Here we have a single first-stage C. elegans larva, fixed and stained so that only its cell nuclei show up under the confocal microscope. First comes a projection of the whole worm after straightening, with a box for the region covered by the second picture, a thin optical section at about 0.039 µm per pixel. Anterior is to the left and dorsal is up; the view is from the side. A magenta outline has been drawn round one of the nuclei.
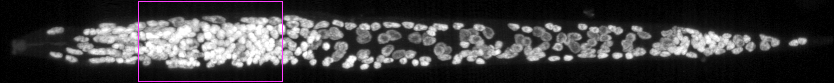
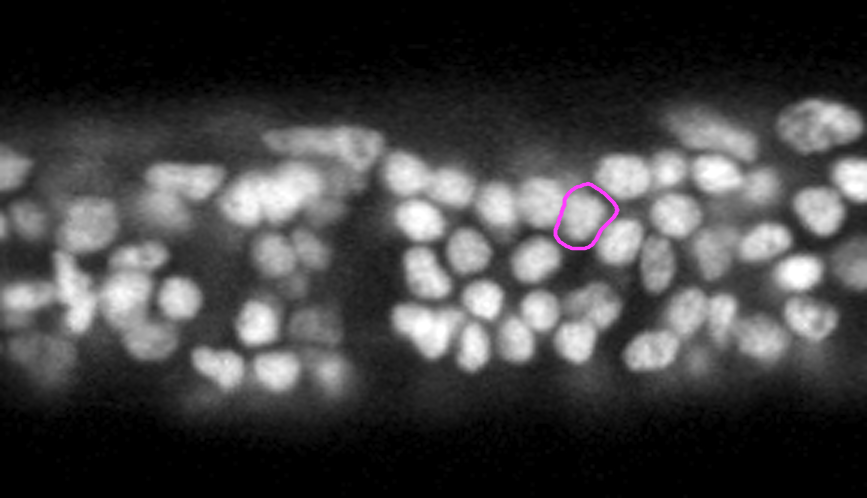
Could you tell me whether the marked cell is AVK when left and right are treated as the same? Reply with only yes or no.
no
